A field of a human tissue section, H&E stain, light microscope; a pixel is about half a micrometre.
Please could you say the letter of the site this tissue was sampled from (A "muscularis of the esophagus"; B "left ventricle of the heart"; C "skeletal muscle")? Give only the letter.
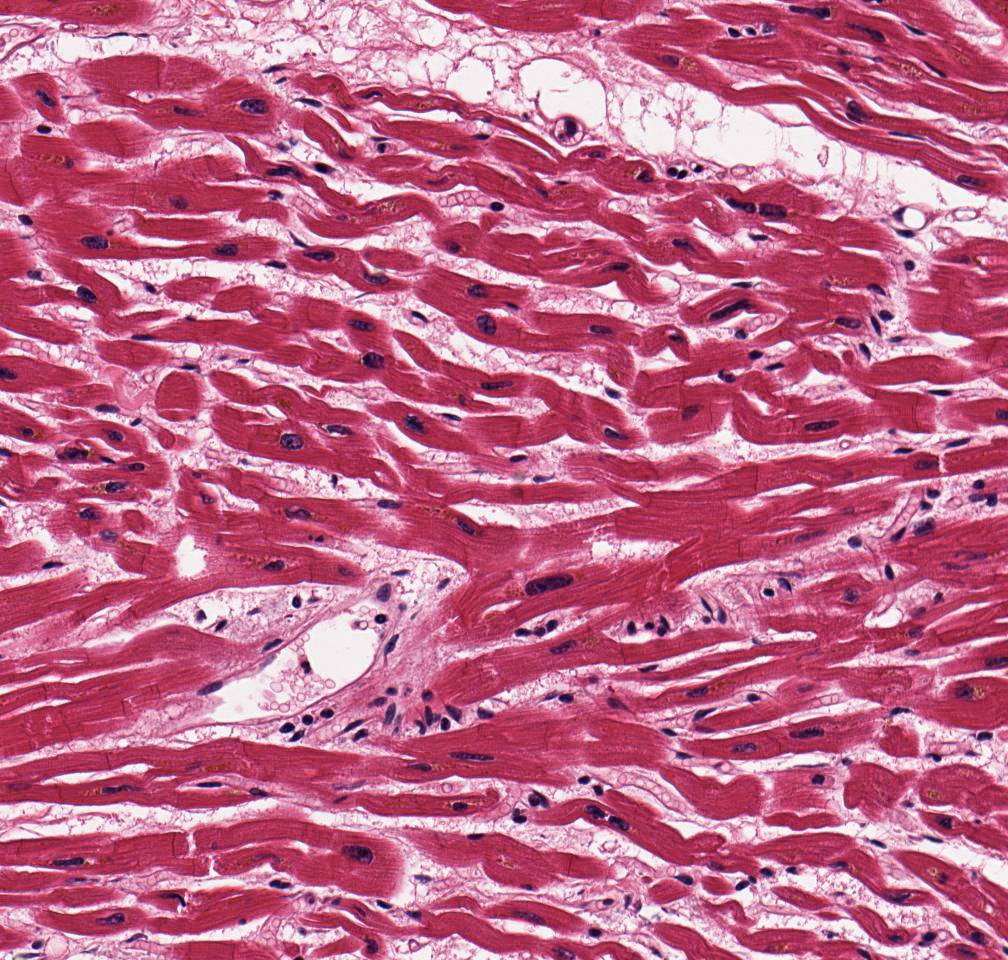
B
